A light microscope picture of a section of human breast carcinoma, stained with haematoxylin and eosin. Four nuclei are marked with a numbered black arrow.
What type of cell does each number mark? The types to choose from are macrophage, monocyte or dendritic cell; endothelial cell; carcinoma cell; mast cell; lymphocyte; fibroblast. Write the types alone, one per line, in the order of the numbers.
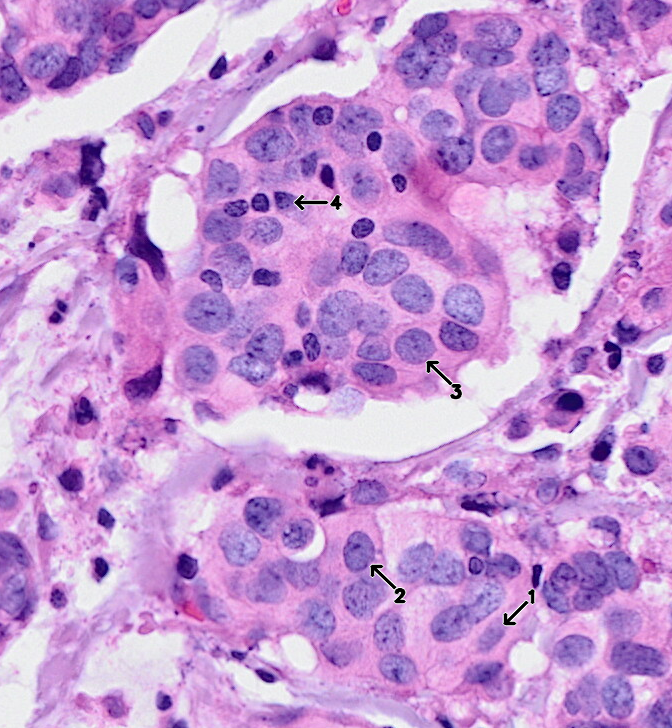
carcinoma cell
carcinoma cell
carcinoma cell
lymphocyte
